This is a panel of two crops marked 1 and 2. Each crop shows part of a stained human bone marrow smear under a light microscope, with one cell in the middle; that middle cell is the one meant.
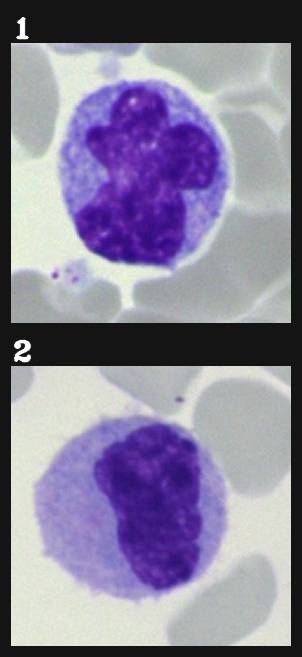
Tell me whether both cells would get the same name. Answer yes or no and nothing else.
yes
